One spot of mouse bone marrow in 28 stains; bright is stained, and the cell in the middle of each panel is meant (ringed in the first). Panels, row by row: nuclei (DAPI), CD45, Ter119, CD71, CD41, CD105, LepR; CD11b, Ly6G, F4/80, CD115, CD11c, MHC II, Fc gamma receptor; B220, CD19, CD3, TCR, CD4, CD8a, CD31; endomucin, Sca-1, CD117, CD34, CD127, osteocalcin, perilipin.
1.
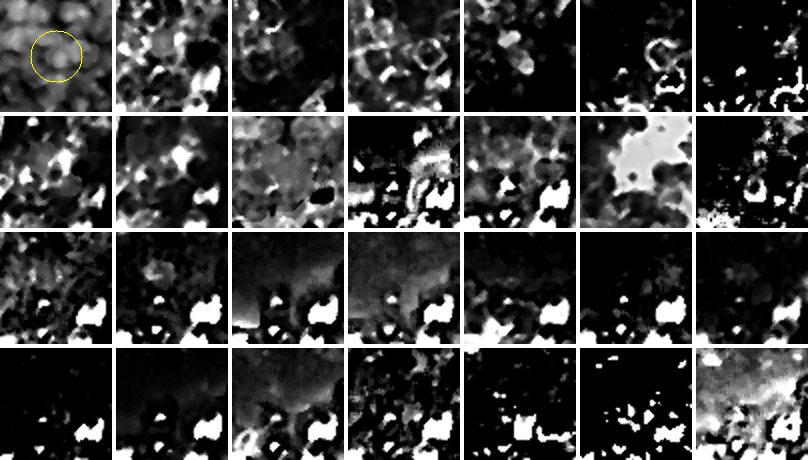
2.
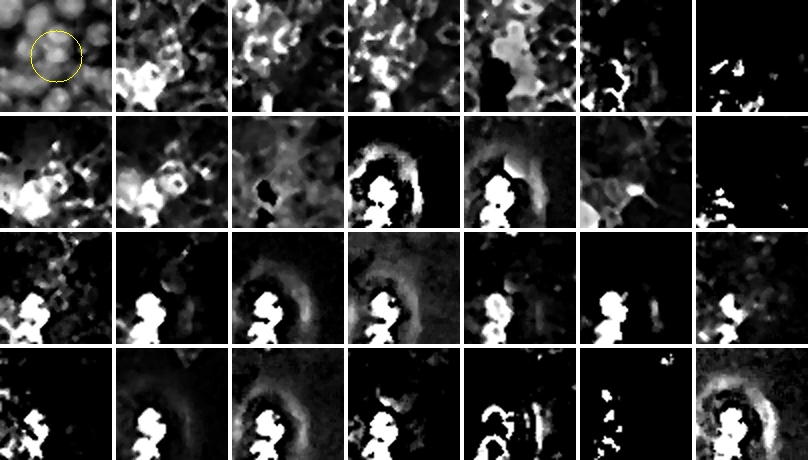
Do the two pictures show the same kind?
Yes, both are conventional dendritic cells.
